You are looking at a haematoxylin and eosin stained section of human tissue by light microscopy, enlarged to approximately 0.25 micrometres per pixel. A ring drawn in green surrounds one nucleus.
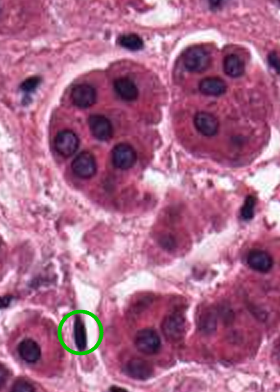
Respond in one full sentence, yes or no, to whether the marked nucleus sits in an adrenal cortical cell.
No, the marked nucleus is located in a supporting cell and not in an adrenal cortical cell.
